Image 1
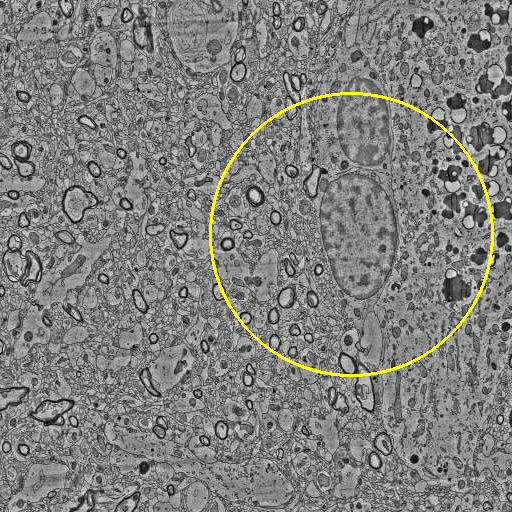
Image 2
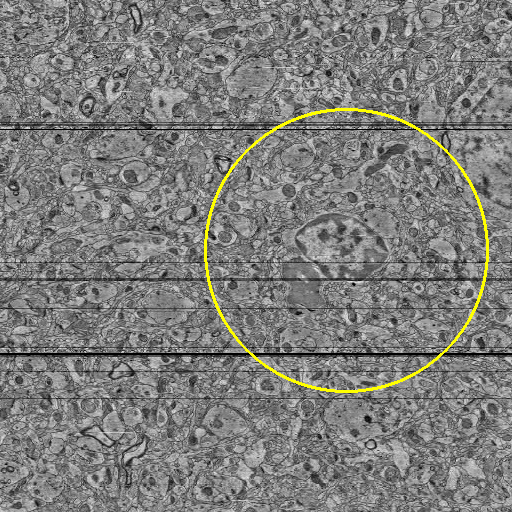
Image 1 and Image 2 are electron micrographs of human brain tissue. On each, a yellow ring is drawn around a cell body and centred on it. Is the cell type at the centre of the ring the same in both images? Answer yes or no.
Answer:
no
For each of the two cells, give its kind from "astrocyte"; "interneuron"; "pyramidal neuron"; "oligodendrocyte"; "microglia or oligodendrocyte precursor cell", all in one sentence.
The first picture has an oligodendrocyte in its ring, the second has a microglial cell or oligodendrocyte precursor cell.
